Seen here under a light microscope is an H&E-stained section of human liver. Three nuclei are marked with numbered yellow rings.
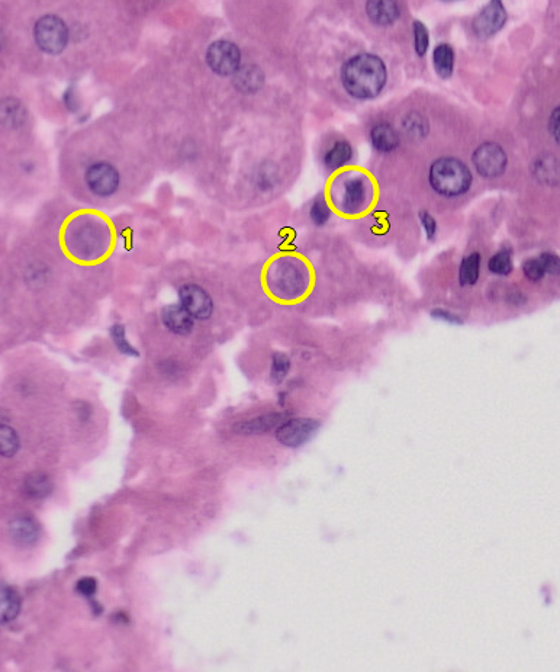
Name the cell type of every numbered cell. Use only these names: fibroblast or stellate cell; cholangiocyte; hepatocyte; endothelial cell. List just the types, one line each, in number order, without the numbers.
hepatocyte
hepatocyte
fibroblast or stellate cell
